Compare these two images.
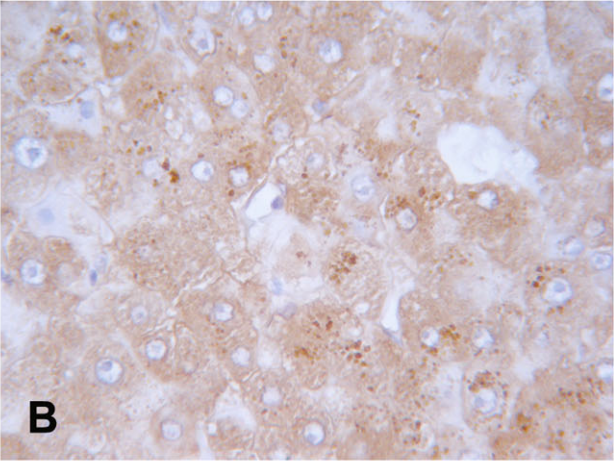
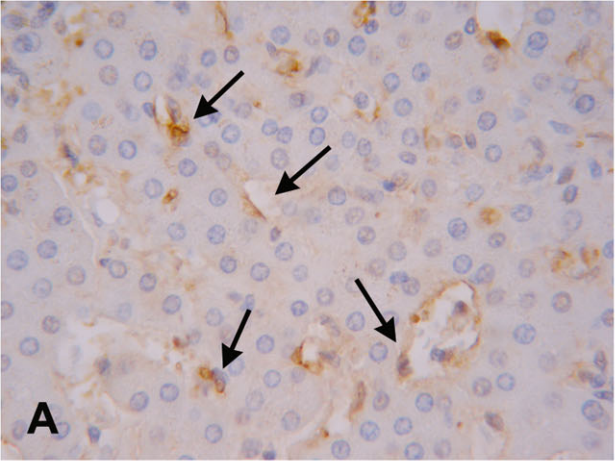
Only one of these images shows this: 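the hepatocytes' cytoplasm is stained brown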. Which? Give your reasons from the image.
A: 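The first image. First image: the cytoplasm of the large polygonal cells is diffusely brown with brown granules. Second image: the large polygonal cells are pale, brown is confined to thin cells between them.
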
